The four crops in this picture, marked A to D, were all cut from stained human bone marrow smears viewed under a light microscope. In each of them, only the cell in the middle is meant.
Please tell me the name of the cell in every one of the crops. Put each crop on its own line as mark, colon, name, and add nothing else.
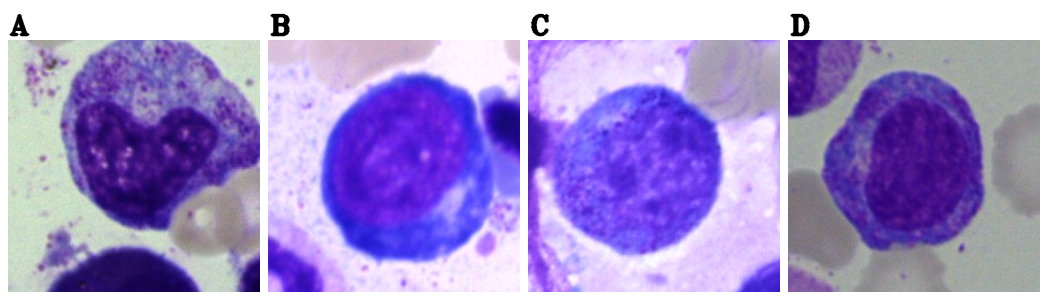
A: promyelocyte
B: proerythroblast
C: promyelocyte
D: promyelocyte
